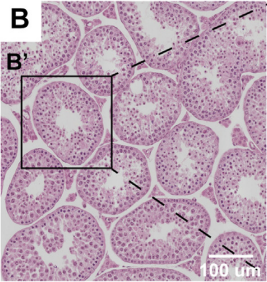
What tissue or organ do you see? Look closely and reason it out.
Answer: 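Closely packed round tubules in cross-section. Stratified epithelium of germ cells around a lumen in each tubule.
Hence: testicular.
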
